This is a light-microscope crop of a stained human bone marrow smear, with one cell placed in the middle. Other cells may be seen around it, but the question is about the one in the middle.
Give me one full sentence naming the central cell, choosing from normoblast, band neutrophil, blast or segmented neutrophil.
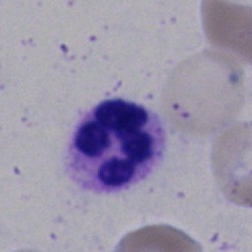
The cell of interest, in the center, is a segmented neutrophil.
